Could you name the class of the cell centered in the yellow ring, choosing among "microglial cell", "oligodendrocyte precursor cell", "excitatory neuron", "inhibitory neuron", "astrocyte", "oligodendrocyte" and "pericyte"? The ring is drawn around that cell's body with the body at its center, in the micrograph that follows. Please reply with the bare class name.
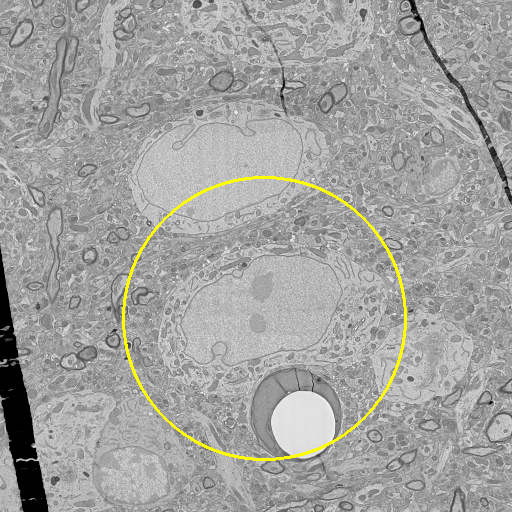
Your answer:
inhibitory neuron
